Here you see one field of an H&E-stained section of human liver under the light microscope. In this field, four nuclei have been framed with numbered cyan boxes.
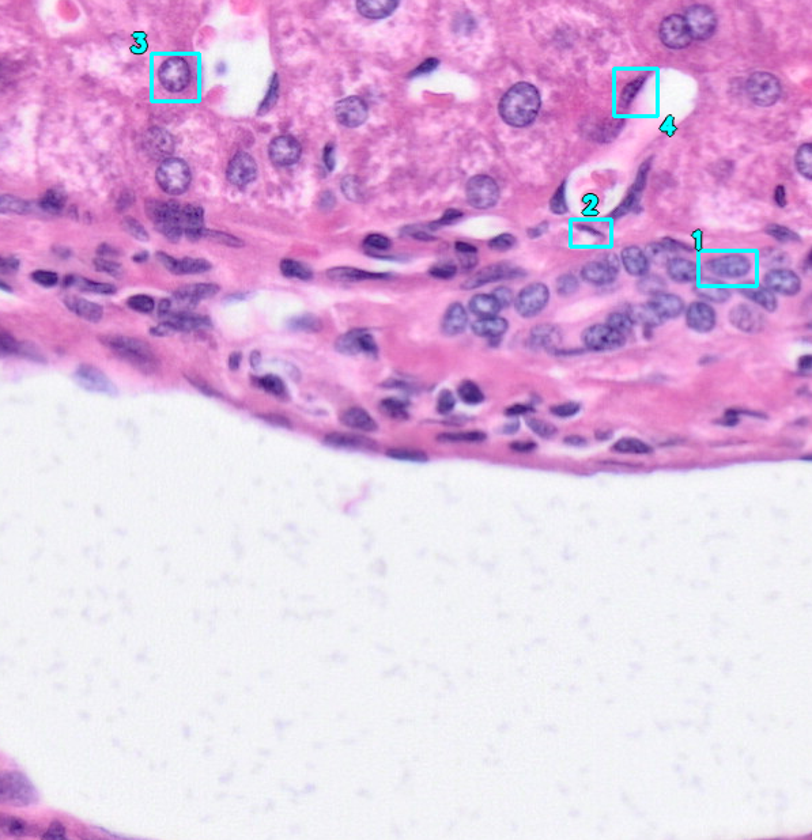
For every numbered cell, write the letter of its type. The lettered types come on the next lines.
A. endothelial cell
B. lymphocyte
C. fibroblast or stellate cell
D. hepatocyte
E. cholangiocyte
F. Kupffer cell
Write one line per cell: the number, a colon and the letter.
1: E
2: C
3: D
4: C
